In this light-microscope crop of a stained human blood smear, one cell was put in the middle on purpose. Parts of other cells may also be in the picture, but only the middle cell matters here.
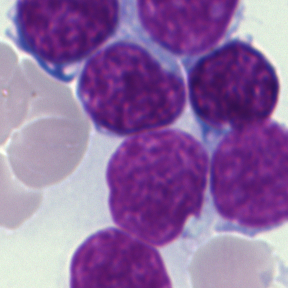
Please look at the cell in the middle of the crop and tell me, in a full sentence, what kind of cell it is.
Seen at the centre of the crop is a myeloblast.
